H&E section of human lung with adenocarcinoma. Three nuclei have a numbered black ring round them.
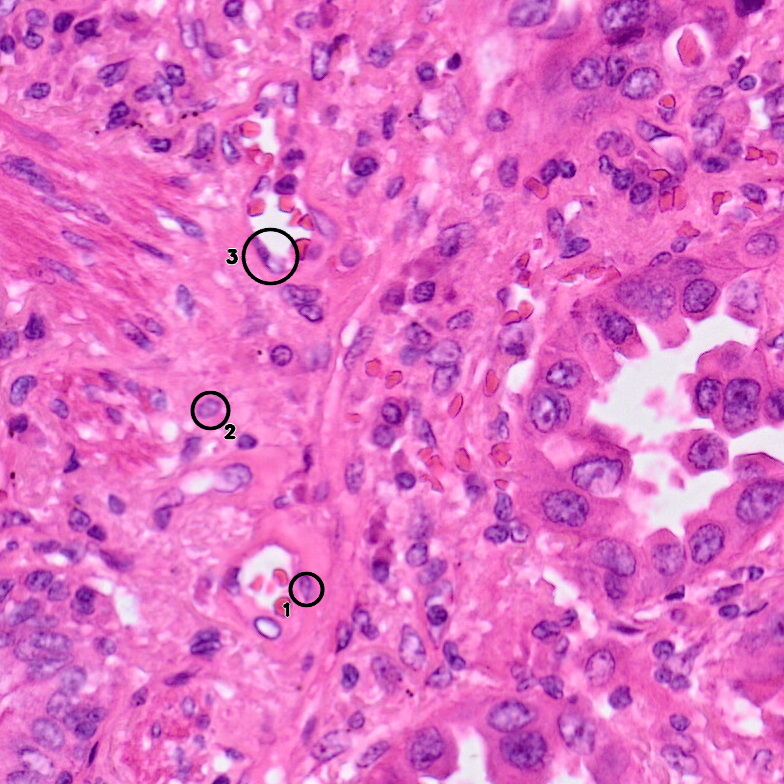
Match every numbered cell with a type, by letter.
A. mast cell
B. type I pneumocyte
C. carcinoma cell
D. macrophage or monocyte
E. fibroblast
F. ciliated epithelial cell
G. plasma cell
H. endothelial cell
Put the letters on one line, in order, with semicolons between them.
H; A; H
